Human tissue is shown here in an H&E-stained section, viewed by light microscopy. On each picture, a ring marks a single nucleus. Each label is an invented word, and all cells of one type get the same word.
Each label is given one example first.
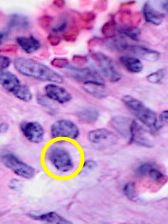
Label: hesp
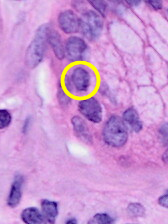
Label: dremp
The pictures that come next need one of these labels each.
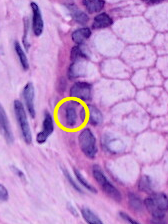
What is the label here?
dremp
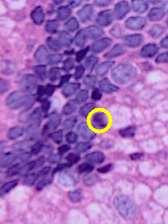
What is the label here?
dremp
